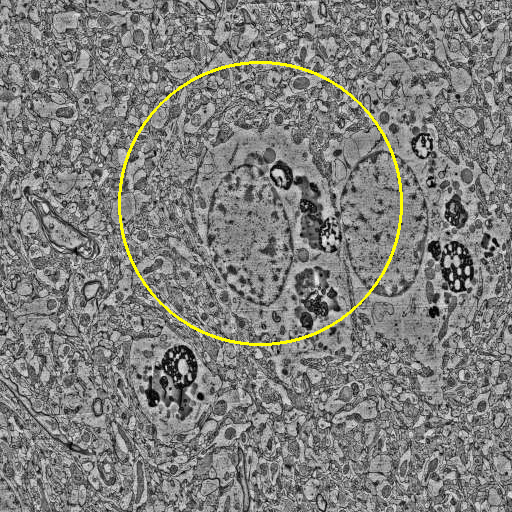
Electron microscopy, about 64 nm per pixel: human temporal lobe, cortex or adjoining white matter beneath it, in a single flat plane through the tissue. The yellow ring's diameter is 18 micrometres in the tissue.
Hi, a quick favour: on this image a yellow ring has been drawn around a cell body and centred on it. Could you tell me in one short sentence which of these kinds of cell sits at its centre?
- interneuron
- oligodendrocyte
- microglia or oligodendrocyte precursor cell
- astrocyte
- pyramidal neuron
The ring is centred on an astrocyte.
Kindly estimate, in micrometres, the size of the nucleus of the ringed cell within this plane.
About 9 by 5 micrometres; in this plane the nucleus is clearly longer than it is wide.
